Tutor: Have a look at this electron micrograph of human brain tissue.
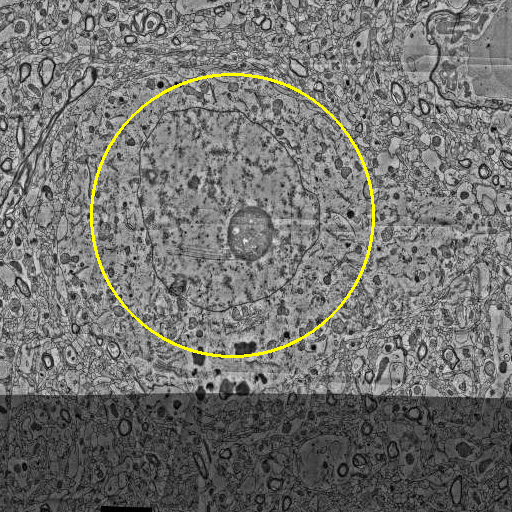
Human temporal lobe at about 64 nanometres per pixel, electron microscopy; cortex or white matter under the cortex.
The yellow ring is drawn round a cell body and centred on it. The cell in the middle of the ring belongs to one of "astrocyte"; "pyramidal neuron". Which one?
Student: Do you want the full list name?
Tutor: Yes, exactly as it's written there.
pyramidal neuron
